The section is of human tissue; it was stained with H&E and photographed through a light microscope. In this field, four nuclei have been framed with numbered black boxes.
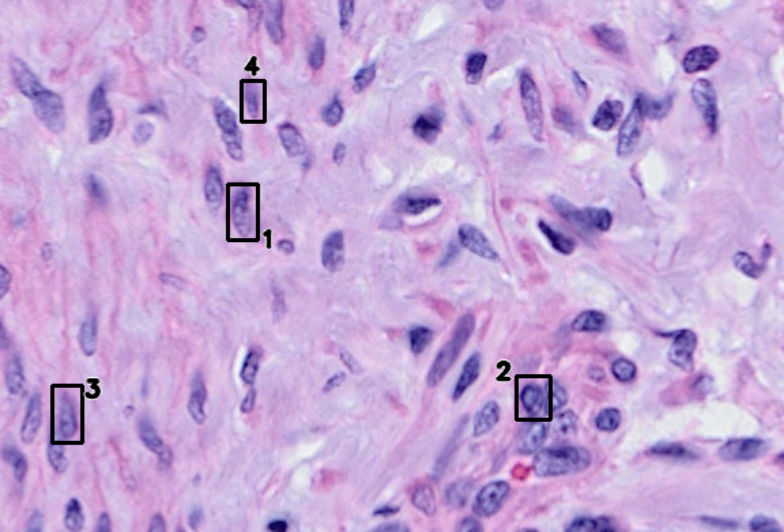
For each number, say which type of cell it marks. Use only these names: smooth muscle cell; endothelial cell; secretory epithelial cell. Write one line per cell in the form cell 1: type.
cell 1: smooth muscle cell
cell 2: endothelial cell
cell 3: smooth muscle cell
cell 4: smooth muscle cell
